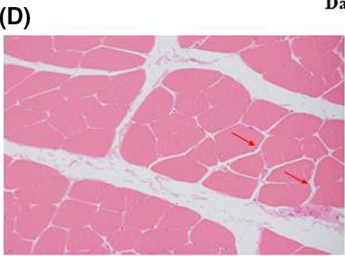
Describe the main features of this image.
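This is a cross-section of skeletal muscle showing many muscle fibres stained pink. The fibres are polygonal and tightly packed within bundles, with thin pale spaces between neighbouring fibres. Broader white bands of connective tissue separate the bundles from one another.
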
